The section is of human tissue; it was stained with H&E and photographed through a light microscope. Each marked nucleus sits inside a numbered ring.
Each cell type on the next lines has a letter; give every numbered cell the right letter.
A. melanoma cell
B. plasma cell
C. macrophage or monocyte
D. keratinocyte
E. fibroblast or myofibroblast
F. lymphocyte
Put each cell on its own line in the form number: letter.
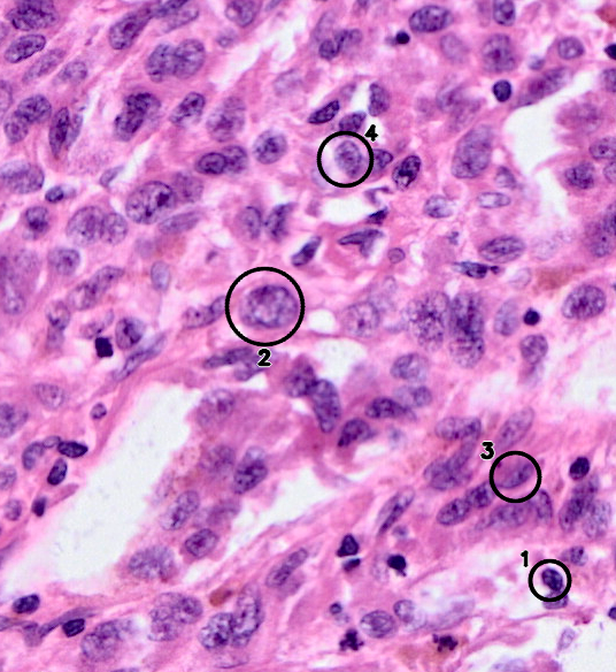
1: F
2: A
3: A
4: A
